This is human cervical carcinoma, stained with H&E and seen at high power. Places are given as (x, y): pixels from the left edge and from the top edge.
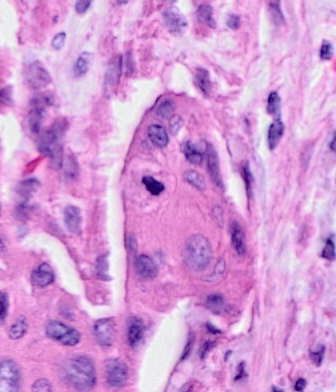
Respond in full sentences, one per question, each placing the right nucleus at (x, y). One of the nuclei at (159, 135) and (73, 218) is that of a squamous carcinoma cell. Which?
The nucleus at (159, 135) belongs to a squamous carcinoma cell, which distinguishes it from the other nucleus.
